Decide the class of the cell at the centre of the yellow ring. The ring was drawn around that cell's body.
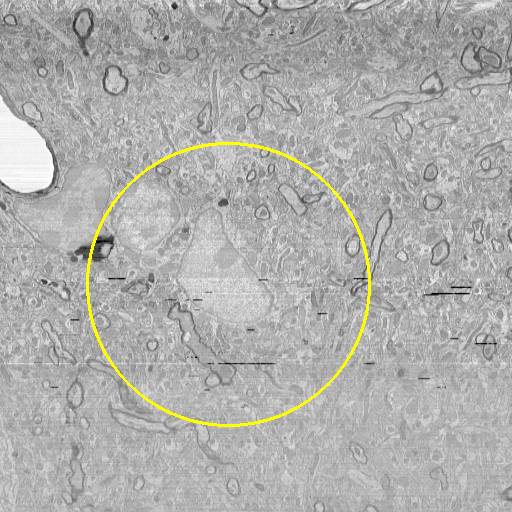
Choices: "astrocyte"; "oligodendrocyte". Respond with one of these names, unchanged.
astrocyte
